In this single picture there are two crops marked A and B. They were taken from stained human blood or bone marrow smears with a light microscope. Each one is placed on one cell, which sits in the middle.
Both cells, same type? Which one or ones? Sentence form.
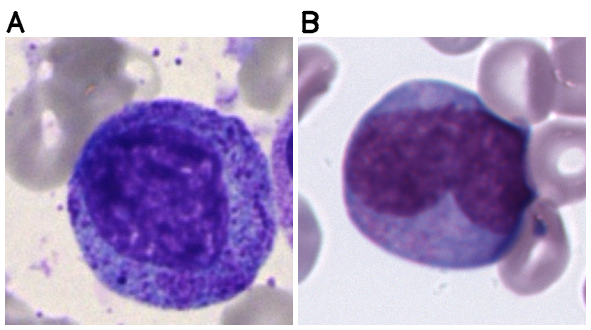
Yes, in both of the crops, the central cells are promyelocytes.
